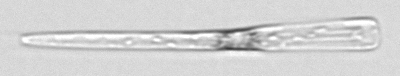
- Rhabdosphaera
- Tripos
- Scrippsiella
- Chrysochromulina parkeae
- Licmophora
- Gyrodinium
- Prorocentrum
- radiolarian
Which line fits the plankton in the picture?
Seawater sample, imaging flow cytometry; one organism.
Licmophora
